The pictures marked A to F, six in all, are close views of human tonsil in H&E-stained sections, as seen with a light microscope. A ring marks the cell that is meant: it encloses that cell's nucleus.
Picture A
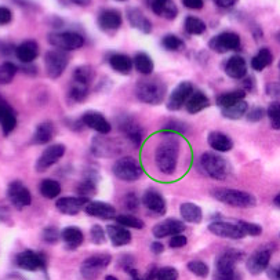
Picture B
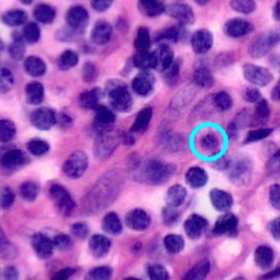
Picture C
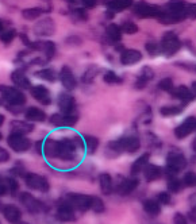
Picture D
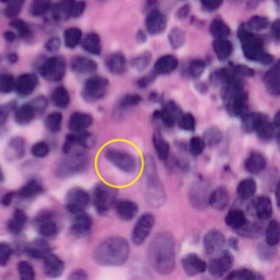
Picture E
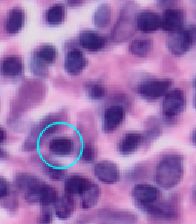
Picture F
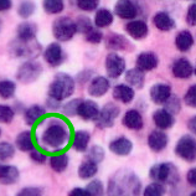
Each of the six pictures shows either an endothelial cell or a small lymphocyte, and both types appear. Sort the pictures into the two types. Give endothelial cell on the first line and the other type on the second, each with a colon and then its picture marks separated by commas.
endothelial cell: A, B, D
small lymphocyte: C, E, F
